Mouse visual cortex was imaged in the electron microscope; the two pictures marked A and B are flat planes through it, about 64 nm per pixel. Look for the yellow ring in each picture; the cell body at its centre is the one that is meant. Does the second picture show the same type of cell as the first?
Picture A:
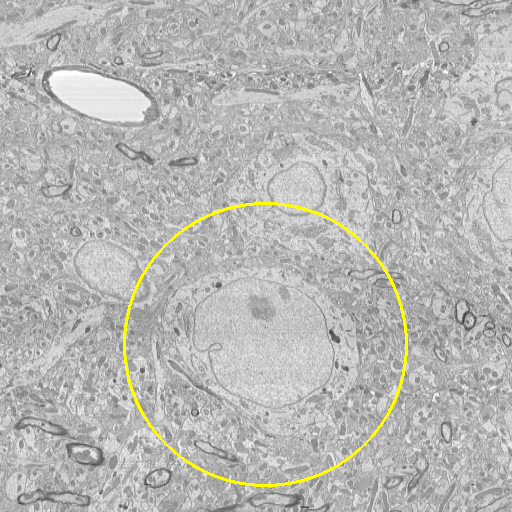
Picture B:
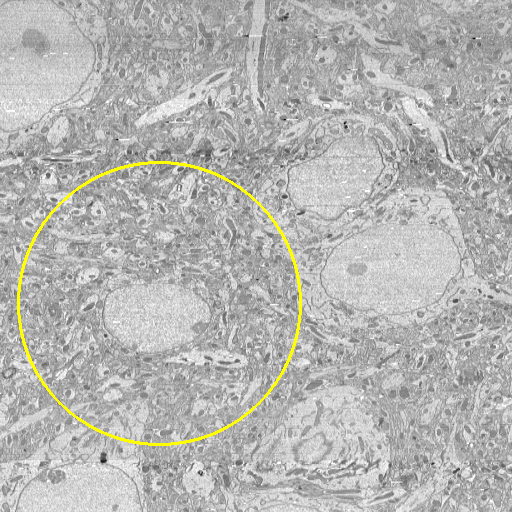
No; the cell in picture A is an excitatory neuron, while the one in picture B is an astrocyte.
